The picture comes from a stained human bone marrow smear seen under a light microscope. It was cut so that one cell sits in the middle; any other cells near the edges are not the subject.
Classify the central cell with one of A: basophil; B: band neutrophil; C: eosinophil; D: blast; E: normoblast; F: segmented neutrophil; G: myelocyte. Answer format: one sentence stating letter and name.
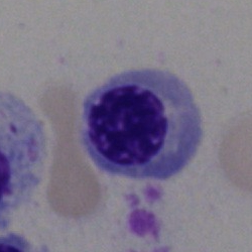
Option E is the right one, for the cell in the middle is a normoblast.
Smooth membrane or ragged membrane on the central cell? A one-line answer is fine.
Its surface contour is regular and smooth, without any protrusions.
